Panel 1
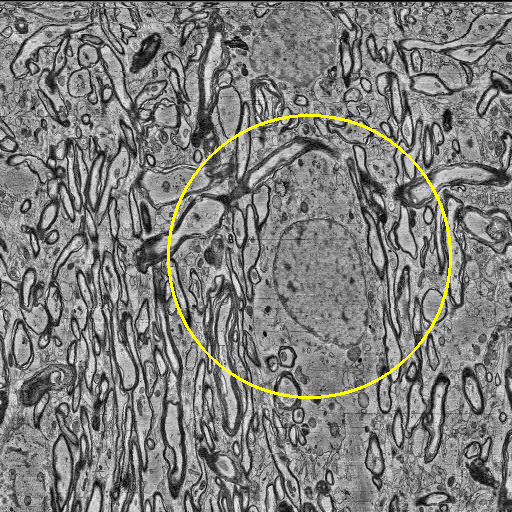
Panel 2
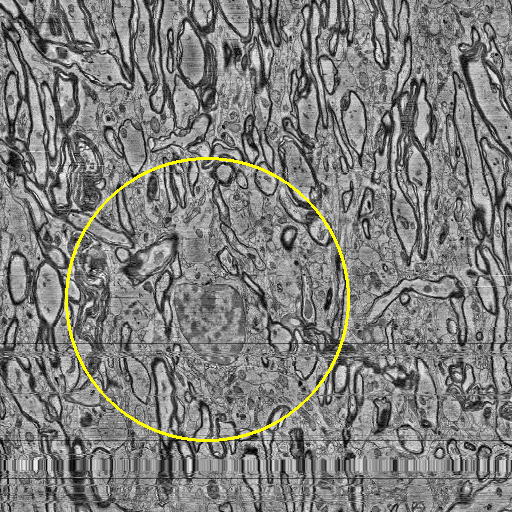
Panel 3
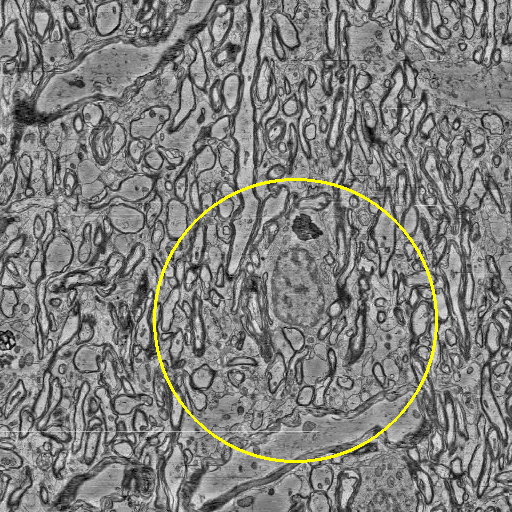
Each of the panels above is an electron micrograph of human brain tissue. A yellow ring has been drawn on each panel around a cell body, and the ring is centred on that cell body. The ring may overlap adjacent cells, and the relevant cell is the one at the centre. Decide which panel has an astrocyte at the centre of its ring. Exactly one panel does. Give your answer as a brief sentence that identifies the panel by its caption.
Panel 1 is the one with it at the centre of the ring.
